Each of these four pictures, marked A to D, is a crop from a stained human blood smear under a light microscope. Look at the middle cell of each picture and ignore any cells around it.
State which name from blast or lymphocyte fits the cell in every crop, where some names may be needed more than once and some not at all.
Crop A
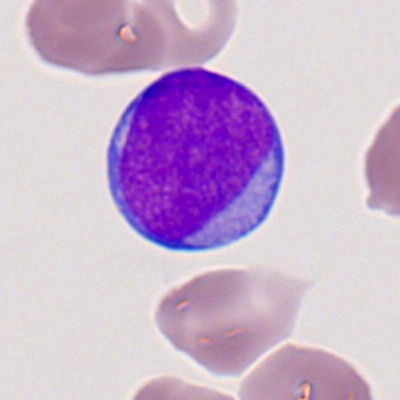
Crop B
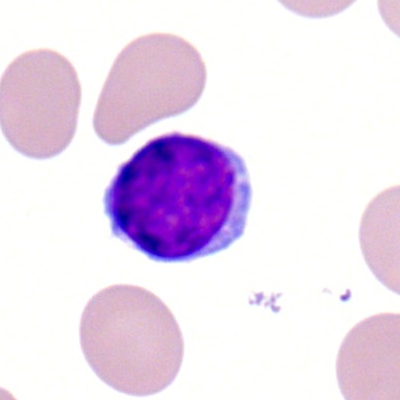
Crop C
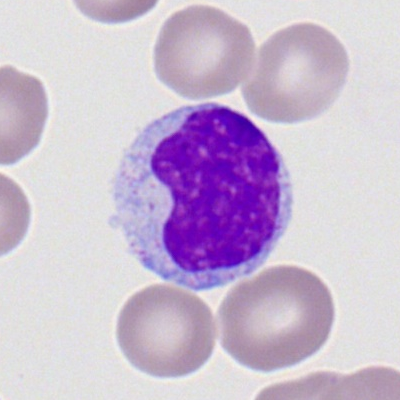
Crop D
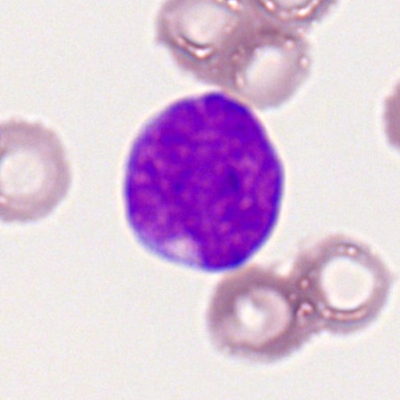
A: blast
B: lymphocyte
C: lymphocyte
D: blast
